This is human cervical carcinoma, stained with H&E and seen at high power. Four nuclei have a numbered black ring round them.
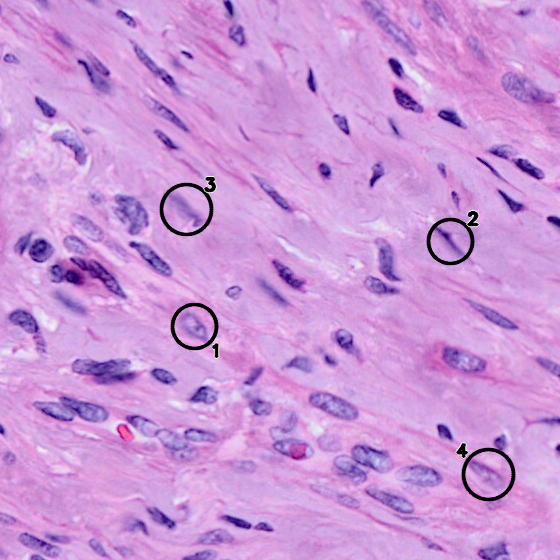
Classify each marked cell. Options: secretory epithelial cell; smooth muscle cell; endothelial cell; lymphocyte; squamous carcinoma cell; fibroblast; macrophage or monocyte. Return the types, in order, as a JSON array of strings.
["endothelial cell", "fibroblast", "fibroblast", "smooth muscle cell"]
